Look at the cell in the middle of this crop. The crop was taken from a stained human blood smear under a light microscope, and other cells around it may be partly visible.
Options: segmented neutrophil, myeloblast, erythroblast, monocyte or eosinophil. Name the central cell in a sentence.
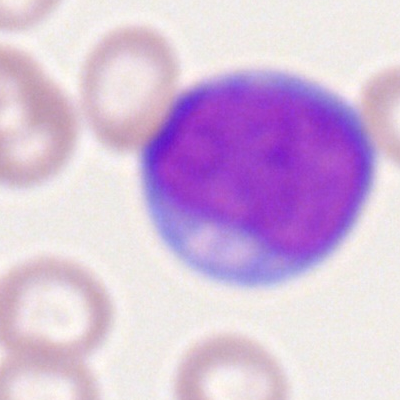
The cell marked by its central position in the crop is a myeloblast.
